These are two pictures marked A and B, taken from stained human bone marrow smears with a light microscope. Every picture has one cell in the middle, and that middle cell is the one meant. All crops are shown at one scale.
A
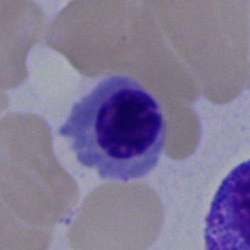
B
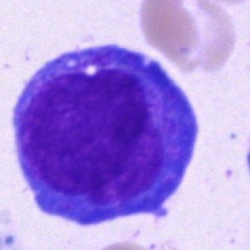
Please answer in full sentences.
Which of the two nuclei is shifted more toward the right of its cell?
It is the nucleus in picture A that lies further toward the right of its cell.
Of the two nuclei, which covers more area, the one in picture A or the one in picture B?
Picture B shows the larger nucleus; it covers about 4 times the area of the nucleus in picture A.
